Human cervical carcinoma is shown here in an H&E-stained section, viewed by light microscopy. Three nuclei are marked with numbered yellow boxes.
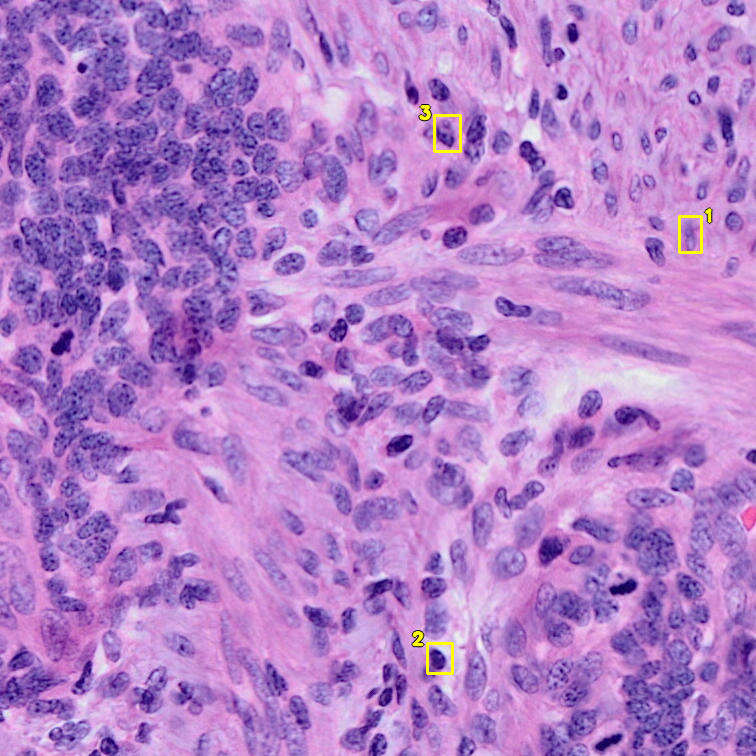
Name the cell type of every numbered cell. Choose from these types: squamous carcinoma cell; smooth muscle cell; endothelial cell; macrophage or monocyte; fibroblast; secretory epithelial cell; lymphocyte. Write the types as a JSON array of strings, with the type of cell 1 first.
["smooth muscle cell", "lymphocyte", "lymphocyte"]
